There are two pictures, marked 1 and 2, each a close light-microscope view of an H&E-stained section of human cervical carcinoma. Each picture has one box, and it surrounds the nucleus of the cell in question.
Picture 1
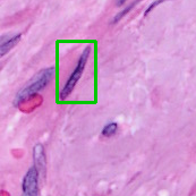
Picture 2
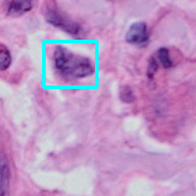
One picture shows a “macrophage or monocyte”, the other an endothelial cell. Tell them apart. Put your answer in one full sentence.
It is picture 1 that shows an endothelial cell, and picture 2 that shows a “macrophage or monocyte”.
